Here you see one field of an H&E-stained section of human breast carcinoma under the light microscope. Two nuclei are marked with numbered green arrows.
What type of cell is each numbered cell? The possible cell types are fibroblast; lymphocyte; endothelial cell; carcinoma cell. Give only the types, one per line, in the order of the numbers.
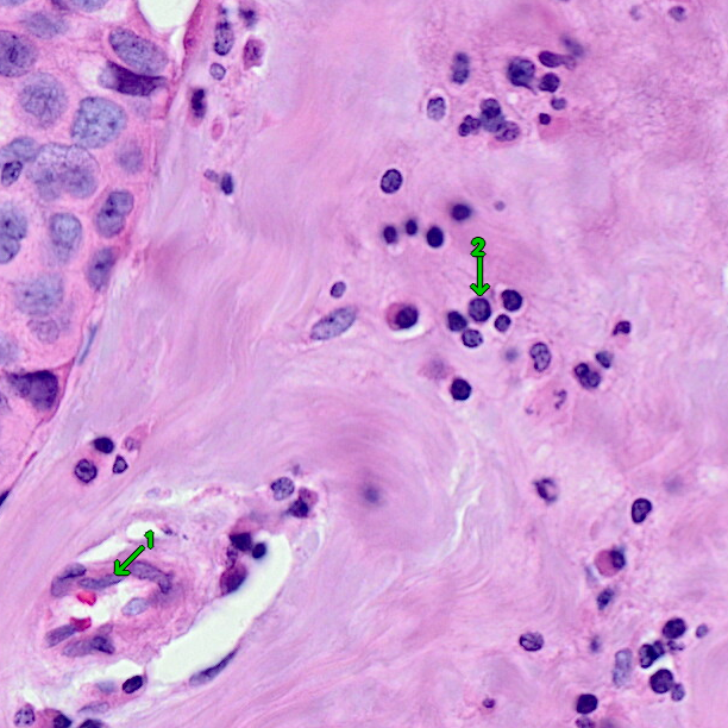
endothelial cell
lymphocyte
